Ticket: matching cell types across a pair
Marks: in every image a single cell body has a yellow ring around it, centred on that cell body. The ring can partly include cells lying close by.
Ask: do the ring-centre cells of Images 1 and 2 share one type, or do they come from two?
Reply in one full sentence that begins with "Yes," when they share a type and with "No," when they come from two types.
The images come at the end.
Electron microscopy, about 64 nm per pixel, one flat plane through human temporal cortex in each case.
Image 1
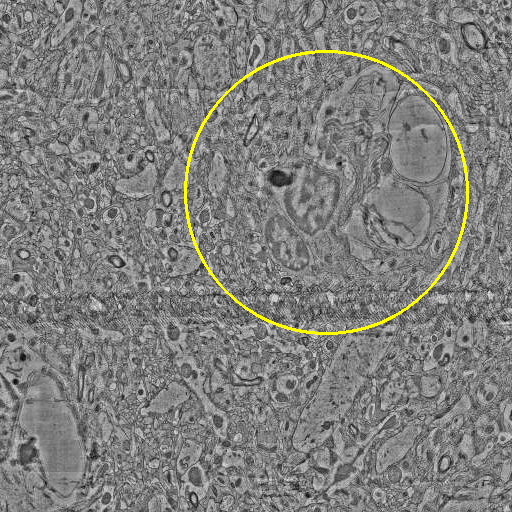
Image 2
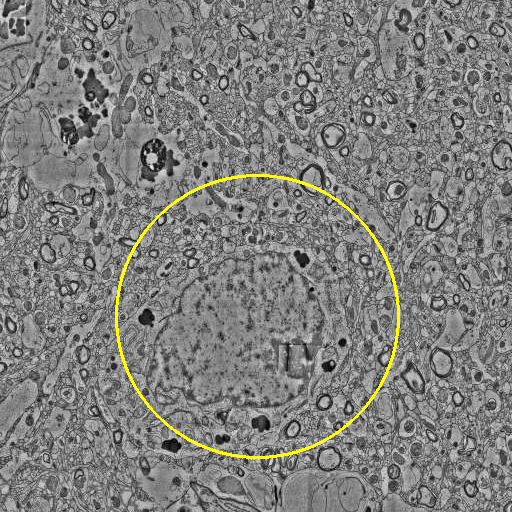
No, the cells in the centres of the rings in Image 1 and Image 2 come from two types.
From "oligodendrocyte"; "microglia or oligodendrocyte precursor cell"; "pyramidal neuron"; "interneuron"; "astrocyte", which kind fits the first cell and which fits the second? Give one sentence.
The cell marked in the first picture is an oligodendrocyte, and the one marked in the second is an interneuron.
